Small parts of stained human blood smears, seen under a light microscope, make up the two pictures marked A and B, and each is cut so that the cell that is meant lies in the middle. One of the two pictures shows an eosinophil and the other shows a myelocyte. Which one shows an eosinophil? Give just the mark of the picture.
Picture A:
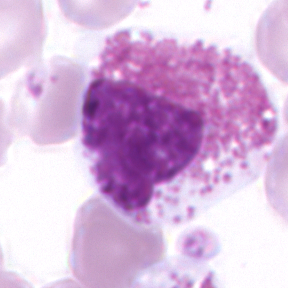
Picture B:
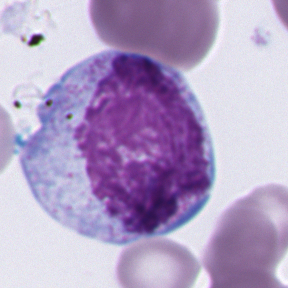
A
